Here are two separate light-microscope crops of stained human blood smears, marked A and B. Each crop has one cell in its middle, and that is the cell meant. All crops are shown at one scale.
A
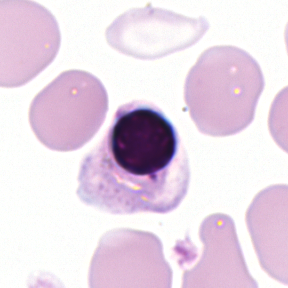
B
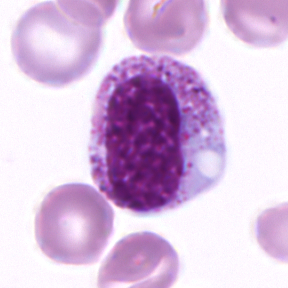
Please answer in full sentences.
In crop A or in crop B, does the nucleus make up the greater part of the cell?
The nucleus fills more of the cell in crop B than in crop A.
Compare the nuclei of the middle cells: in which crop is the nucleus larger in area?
Crop B shows the larger nucleus; it covers about 3 times the area of the nucleus in crop A.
